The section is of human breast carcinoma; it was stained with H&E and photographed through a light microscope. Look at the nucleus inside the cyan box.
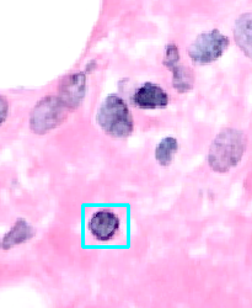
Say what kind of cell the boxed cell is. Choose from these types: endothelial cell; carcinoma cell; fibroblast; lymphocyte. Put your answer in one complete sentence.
The identity of the boxed cell: it is a lymphocyte.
